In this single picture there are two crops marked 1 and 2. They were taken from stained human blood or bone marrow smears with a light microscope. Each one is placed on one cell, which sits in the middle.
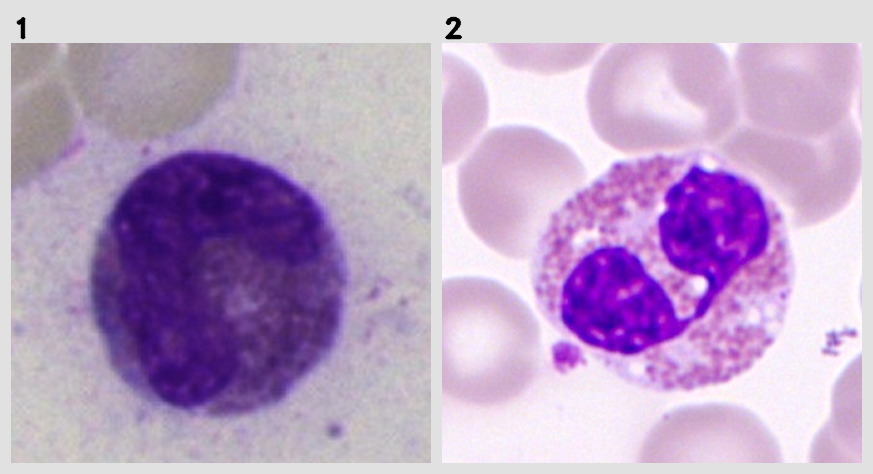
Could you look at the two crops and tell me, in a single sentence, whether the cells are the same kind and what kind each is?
Yes, the two crops show eosinophils, one cell each.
